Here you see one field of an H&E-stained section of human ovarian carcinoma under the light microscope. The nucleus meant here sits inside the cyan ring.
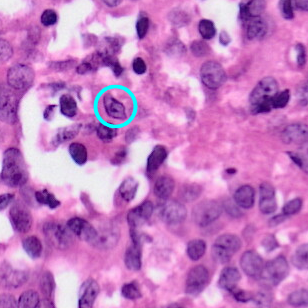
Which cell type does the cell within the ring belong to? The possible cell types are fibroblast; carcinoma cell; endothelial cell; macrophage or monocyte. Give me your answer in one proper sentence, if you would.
As to its cell type, the cell within the ring is a macrophage or monocyte.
